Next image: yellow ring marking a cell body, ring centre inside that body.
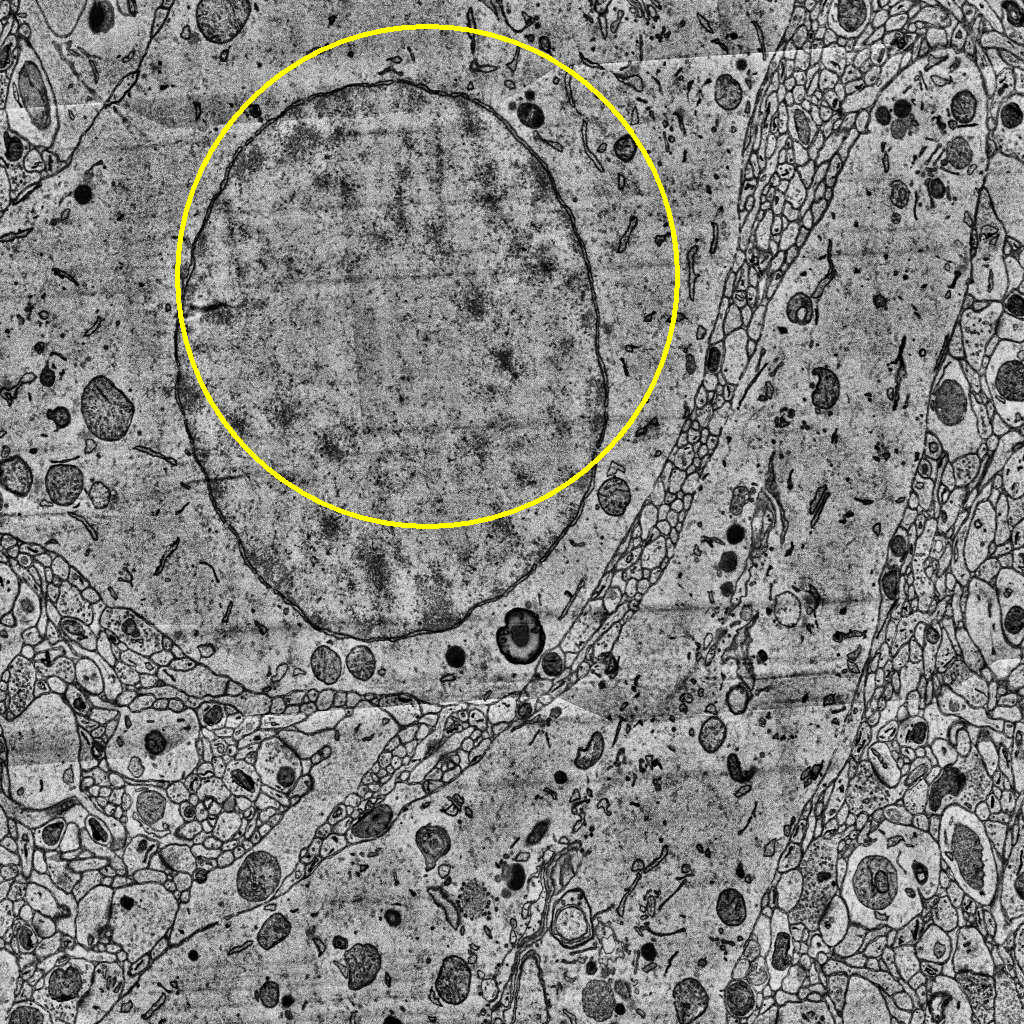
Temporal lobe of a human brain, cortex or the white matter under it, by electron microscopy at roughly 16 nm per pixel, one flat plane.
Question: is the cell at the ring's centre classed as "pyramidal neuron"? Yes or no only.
yes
